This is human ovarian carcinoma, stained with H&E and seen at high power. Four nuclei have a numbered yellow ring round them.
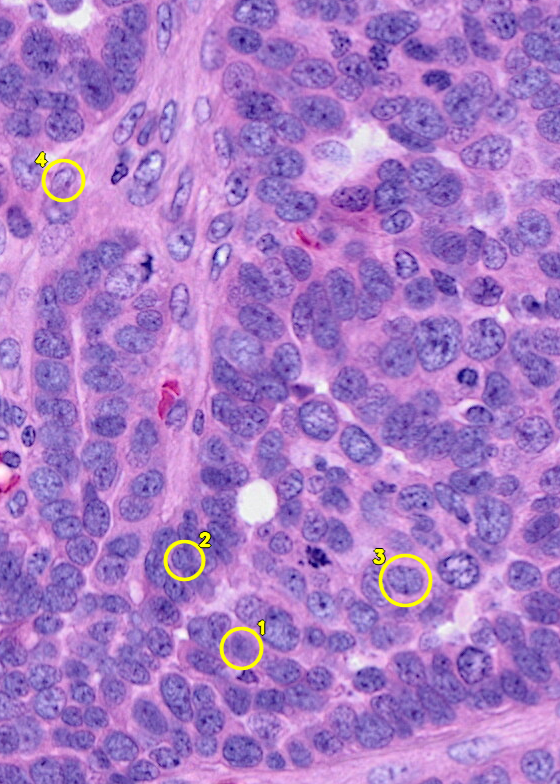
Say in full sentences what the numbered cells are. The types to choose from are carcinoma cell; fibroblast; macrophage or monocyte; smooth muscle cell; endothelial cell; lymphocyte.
Cell 1 is a carcinoma cell, cell 2 is a carcinoma cell, cell 3 is a carcinoma cell and cell 4 is a fibroblast.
